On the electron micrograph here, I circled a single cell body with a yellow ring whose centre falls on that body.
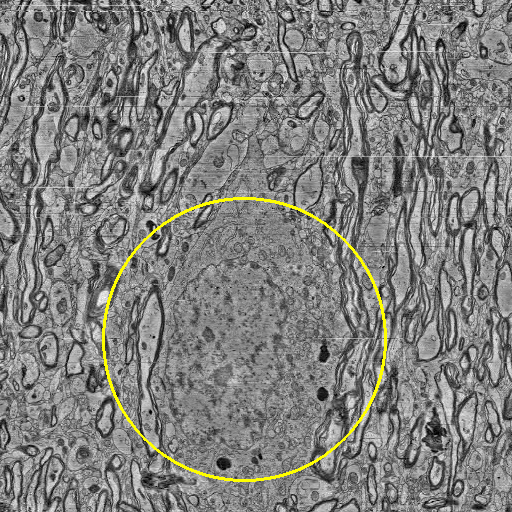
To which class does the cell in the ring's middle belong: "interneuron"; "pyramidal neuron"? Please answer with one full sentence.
In this picture, the cell body circled at the ring's centre belongs to an interneuron.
